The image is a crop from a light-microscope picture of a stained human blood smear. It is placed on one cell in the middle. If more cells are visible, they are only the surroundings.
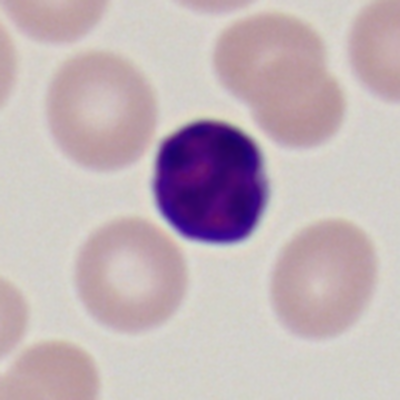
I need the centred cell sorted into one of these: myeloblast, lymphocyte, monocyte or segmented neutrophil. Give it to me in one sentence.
The central cell, amid any neighbouring cells, is a lymphocyte.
